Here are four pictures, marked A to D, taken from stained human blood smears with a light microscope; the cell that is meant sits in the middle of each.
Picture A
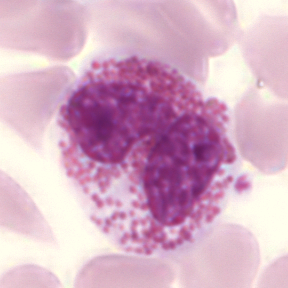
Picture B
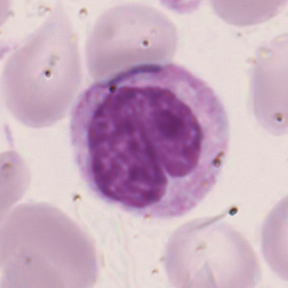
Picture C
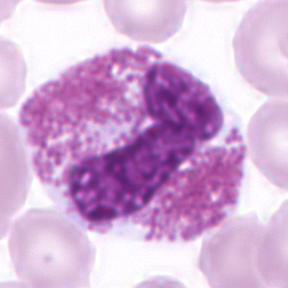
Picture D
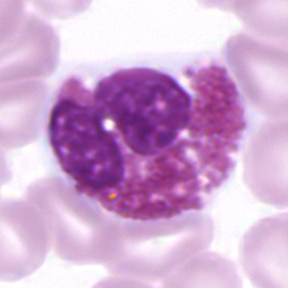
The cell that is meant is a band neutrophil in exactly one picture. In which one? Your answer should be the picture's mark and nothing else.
B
